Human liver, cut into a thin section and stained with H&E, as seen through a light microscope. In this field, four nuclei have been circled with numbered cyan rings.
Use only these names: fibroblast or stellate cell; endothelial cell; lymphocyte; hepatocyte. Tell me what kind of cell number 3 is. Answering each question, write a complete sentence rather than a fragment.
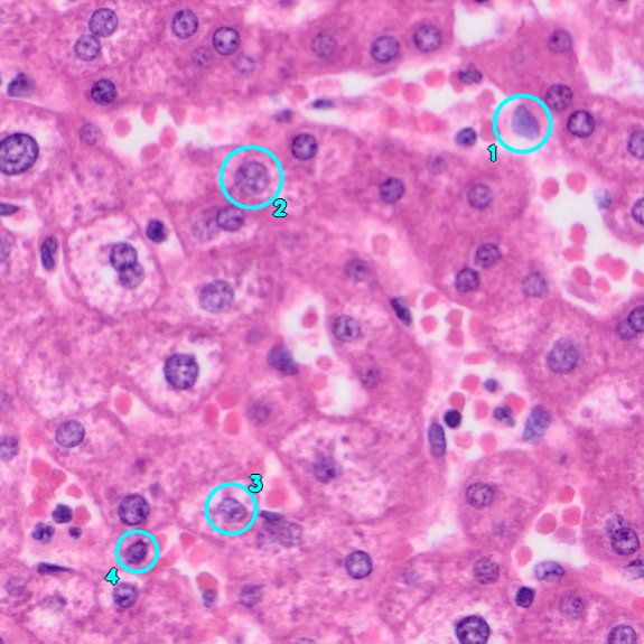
Numbered cell 3 is a hepatocyte in this tissue section.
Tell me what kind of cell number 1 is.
The marked nucleus 1 is that of an endothelial cell.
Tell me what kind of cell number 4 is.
The cell that carries the label 4 is a fibroblast or stellate cell.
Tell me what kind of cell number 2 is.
The expected answer is that cell 2 is a hepatocyte.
